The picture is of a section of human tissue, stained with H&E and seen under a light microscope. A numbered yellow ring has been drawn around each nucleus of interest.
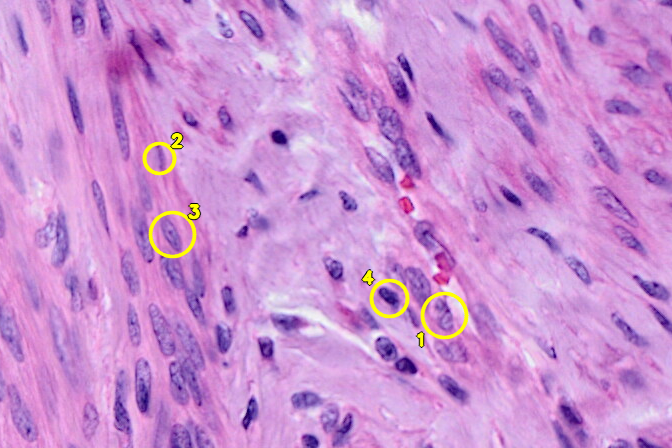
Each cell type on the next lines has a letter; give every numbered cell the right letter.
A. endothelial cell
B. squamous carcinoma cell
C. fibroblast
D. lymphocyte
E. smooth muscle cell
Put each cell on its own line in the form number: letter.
1: A
2: E
3: E
4: D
